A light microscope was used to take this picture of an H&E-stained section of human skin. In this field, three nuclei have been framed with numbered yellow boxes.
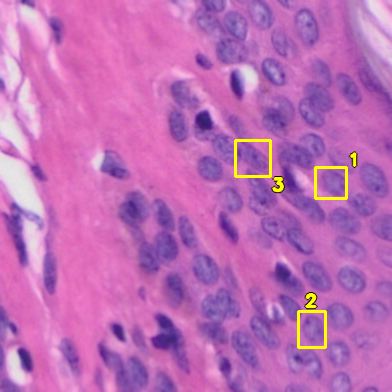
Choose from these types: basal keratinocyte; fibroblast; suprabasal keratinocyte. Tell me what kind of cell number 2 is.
suprabasal keratinocyte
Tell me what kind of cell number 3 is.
basal keratinocyte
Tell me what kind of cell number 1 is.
suprabasal keratinocyte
